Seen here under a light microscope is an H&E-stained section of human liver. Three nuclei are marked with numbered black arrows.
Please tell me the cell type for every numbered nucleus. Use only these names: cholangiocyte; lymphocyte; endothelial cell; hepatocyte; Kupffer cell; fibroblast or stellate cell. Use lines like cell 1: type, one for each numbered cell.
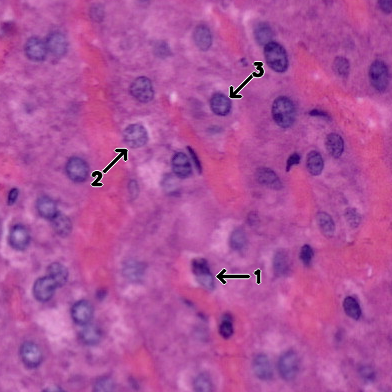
cell 1: Kupffer cell
cell 2: hepatocyte
cell 3: hepatocyte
